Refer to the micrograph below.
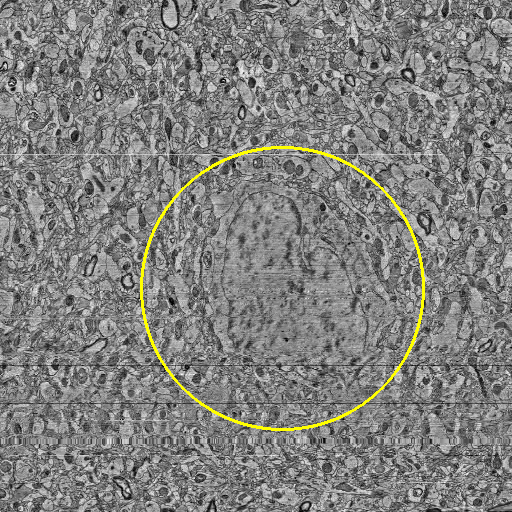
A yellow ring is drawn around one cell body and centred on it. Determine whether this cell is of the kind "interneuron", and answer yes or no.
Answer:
yes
